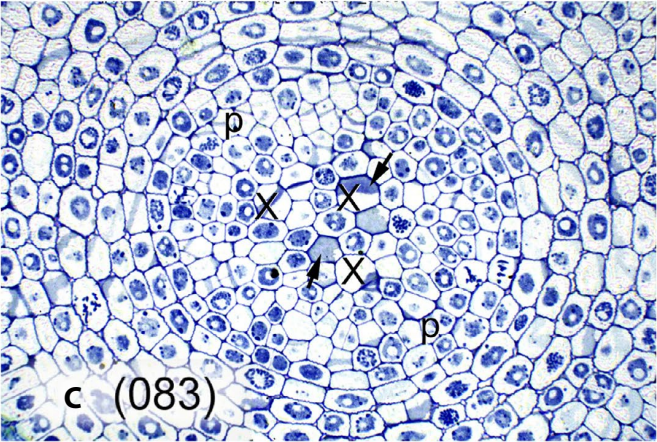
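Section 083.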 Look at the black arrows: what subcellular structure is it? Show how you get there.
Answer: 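Portion of transverse cell end wall. Each arrow points to a smooth grey patch lying inside one of the large central cells.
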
